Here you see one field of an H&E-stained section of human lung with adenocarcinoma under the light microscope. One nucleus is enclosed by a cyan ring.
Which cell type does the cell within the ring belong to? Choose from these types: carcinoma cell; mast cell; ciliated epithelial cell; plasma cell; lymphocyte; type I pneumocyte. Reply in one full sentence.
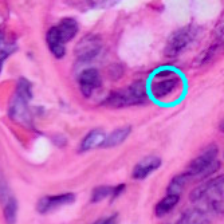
The identity of the cell within the ring: it is a ciliated epithelial cell.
